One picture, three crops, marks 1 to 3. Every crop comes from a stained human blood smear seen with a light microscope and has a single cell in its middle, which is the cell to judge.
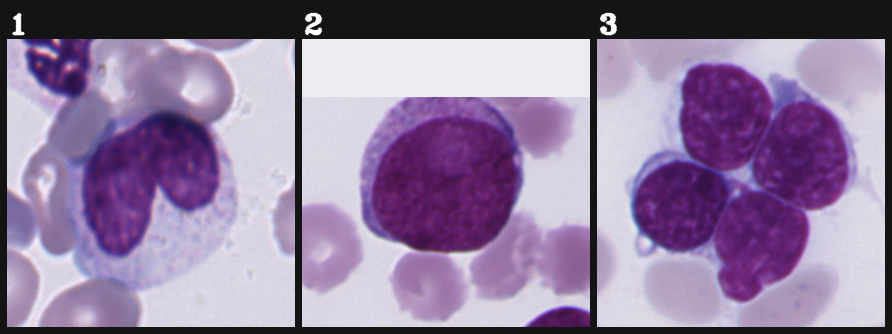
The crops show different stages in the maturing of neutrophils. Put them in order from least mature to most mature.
3, 2, 1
